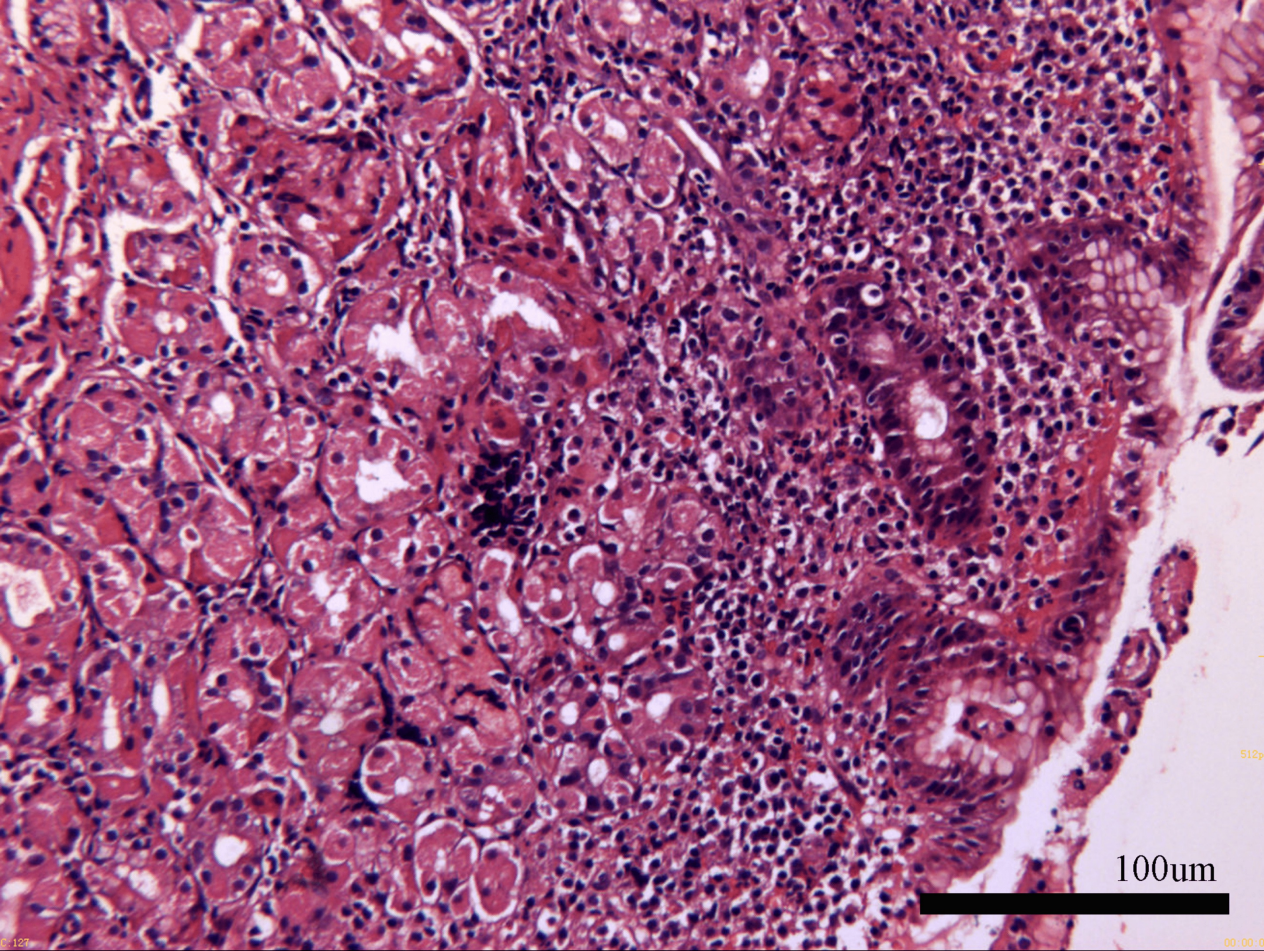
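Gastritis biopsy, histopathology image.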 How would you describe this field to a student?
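On the left, rounded glands are lined by cells with pink cytoplasm around small central openings. Toward the right, the tissue between the glands is crowded with sheets of small round cells with dark, dense nuclei, and these separate and partly hide the glands. At the far right edge, surface and pit epithelium with pale, mucus-filled columnar cells borders the lumen.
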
